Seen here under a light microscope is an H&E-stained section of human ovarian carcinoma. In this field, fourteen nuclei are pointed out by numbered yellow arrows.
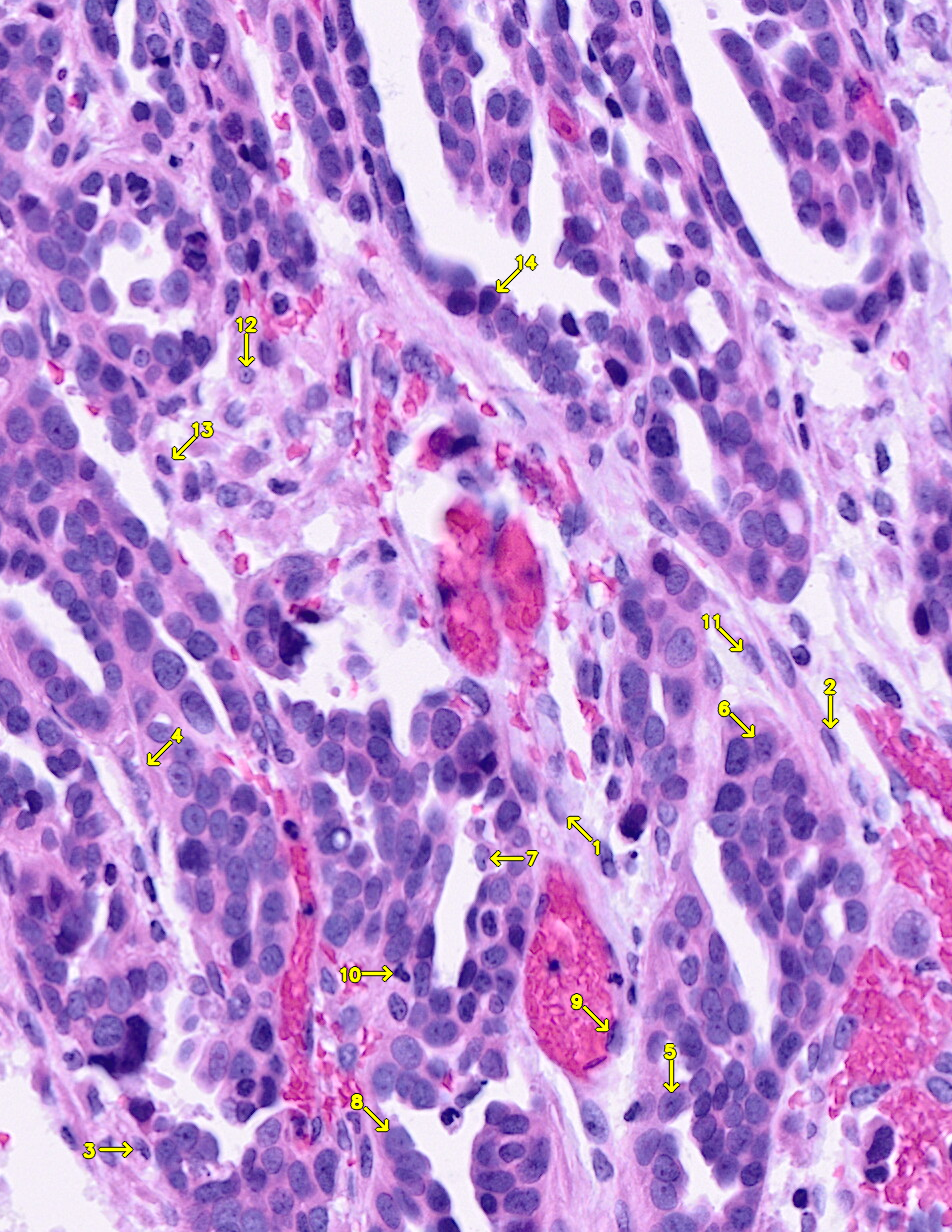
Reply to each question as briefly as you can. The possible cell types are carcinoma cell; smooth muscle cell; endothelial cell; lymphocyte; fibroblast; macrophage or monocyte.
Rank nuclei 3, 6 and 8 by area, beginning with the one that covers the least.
3, 6, 8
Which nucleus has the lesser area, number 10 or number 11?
10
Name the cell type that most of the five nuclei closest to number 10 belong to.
carcinoma cell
